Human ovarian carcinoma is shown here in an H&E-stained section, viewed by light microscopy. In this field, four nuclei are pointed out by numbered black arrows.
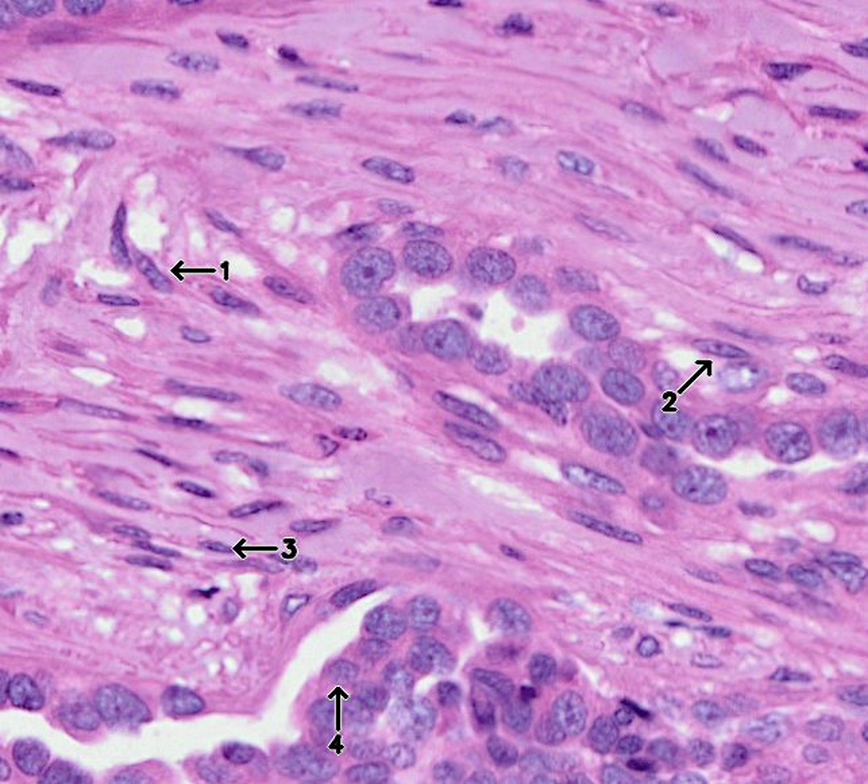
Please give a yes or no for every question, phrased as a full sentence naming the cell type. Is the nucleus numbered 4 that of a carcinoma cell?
Yes, that one, number 4, is a carcinoma cell.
